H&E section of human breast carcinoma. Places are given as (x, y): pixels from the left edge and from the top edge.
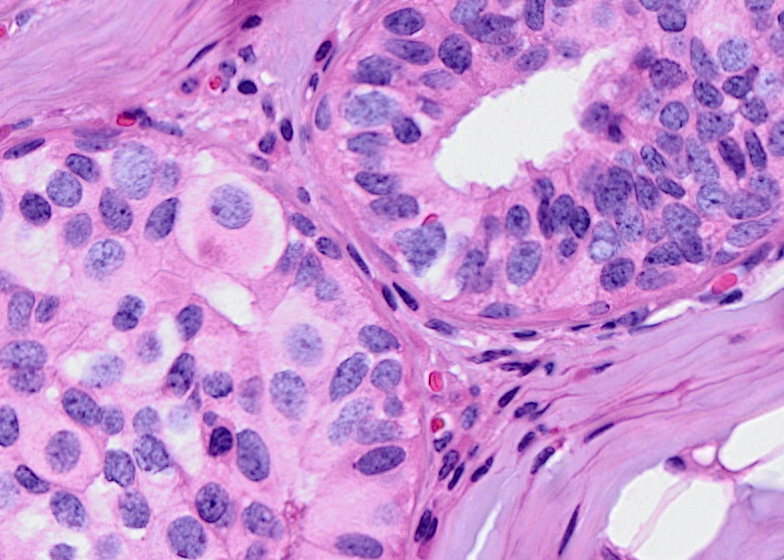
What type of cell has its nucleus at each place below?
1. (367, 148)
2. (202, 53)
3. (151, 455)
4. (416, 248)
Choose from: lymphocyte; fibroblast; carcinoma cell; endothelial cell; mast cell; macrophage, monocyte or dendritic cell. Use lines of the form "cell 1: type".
cell 1: carcinoma cell
cell 2: fibroblast
cell 3: carcinoma cell
cell 4: carcinoma cell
